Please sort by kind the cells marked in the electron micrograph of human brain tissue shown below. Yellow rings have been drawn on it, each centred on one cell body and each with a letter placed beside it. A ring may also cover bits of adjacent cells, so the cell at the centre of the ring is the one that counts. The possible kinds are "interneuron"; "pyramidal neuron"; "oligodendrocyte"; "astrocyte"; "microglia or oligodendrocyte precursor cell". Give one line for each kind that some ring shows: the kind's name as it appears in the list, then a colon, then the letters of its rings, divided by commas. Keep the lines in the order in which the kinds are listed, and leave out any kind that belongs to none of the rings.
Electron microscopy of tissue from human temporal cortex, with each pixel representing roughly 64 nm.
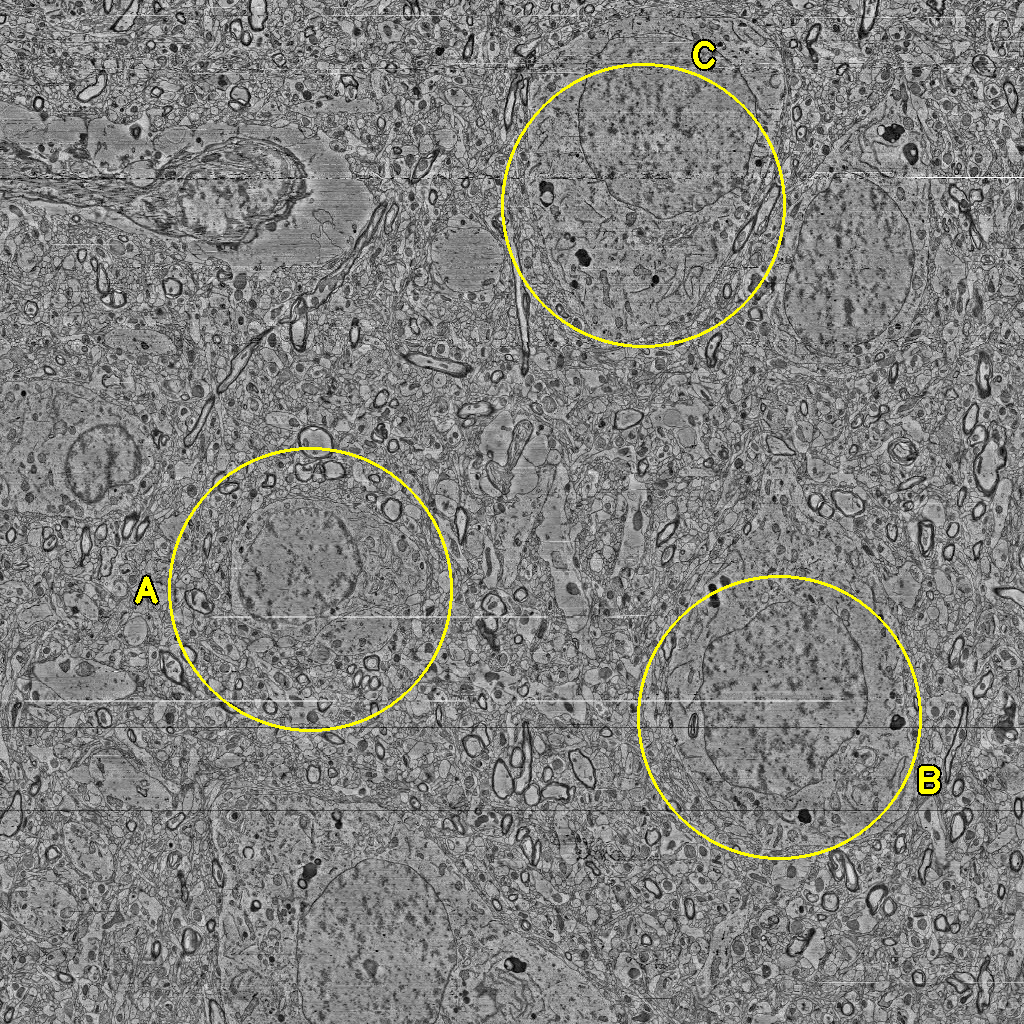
interneuron: A
pyramidal neuron: B, C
